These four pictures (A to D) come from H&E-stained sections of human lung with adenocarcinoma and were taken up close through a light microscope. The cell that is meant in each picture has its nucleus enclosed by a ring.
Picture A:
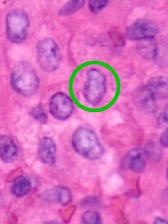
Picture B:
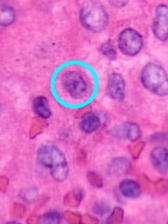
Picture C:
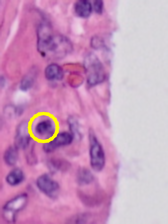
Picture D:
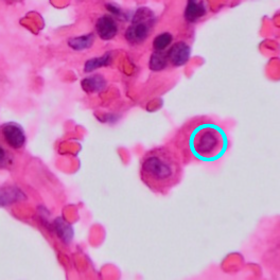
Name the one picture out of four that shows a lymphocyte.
C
